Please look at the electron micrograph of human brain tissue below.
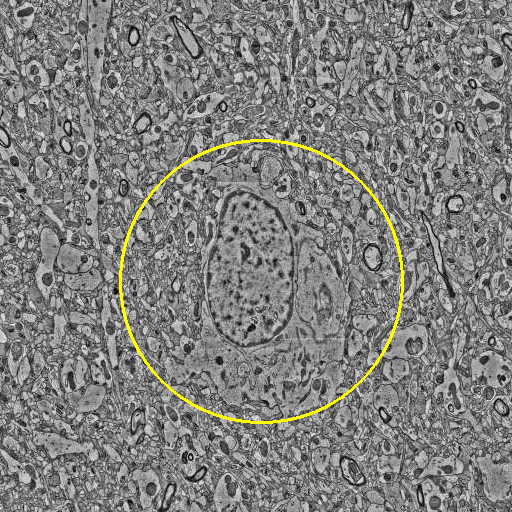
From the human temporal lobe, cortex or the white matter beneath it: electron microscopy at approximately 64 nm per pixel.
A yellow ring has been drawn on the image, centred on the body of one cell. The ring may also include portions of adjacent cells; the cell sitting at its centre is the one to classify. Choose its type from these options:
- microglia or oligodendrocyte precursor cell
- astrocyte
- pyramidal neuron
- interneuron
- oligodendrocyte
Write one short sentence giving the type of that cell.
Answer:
The cell in the middle of the ring is a microglial cell or oligodendrocyte precursor cell.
